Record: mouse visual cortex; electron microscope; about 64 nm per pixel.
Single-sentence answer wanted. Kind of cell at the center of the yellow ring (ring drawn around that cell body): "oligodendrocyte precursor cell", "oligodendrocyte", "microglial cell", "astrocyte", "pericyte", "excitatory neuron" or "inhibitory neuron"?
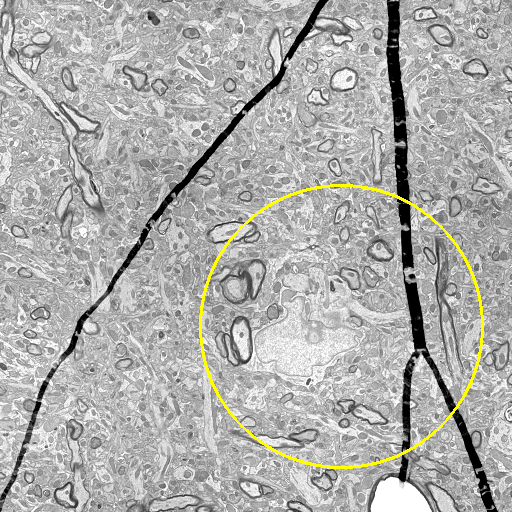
The cell centered in the ring is an oligodendrocyte precursor cell.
